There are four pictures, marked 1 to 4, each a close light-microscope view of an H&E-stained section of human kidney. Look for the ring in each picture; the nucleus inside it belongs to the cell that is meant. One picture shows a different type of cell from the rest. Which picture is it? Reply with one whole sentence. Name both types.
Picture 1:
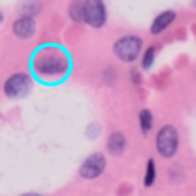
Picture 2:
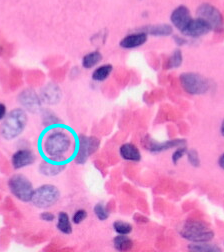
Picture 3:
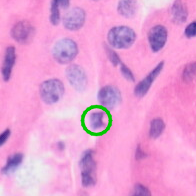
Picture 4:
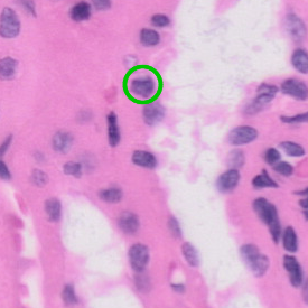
Unlike the rest, which show “loop of Henle or distal tubule cells”, picture 2 shows a collecting duct cell.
